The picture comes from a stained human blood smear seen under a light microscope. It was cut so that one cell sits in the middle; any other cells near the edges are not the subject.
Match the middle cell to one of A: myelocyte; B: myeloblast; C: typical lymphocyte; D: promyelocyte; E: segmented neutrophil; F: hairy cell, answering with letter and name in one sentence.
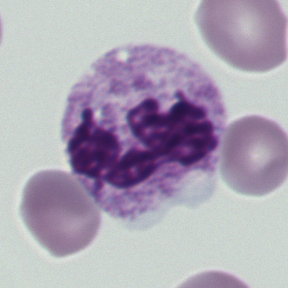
The right choice is option E: the cell in the middle is a segmented neutrophil.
